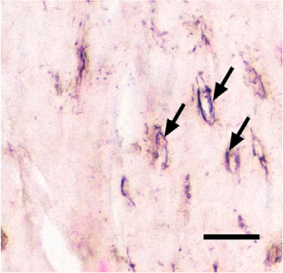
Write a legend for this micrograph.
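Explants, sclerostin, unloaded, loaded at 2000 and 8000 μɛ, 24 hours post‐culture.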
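A section of bone matrix with osteocytes lying singly in small lacunae, their outlines stained dark purple against the pale matrix. The cells are elongated and spindle- to oval-shaped, and several show thin processes extending into the surrounding matrix.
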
